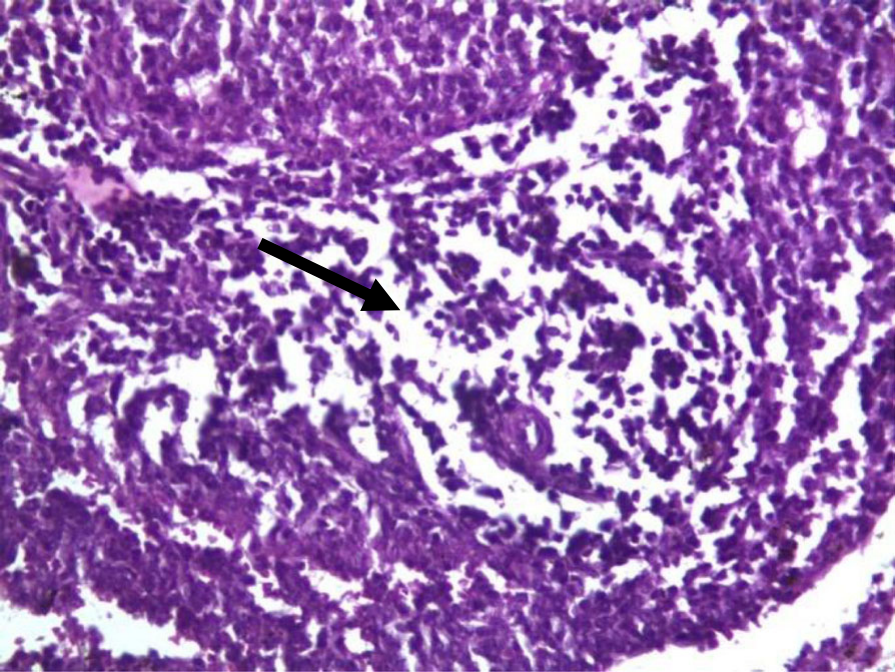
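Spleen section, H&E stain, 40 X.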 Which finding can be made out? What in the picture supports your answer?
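Small round purple cells are pulled apart by irregular white clefts. Many cells lie singly or in small clusters rather than in a continuous sheet. So: separation of splenocytes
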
